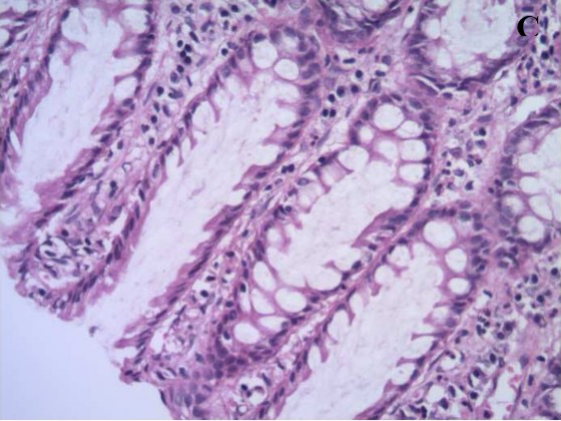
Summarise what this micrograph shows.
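Colonic mucosa with straight, parallel crypts lined by numerous goblet cells that have clear, pale mucin-filled cytoplasm and small basal nuclei. Between the crypts, the lamina propria holds many round inflammatory cells with dark nuclei, some with pink cytoplasm.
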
